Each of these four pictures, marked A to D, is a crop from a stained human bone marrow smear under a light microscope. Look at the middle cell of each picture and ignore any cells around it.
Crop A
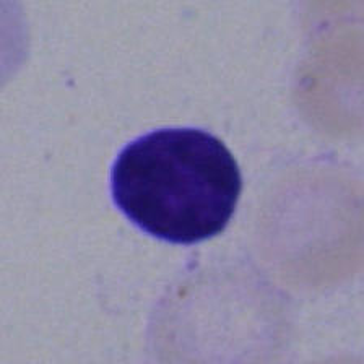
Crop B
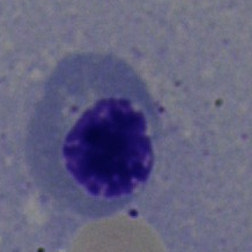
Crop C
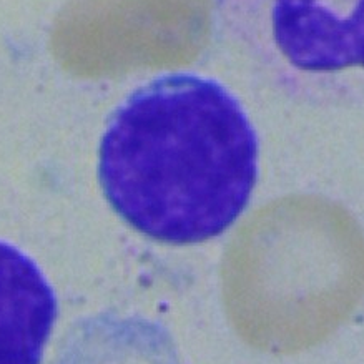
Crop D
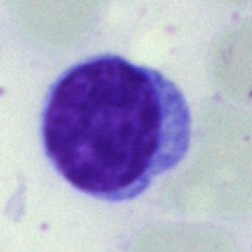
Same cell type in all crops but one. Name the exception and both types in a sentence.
All crops show lymphocytes except crop B, which is an erythroblast.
